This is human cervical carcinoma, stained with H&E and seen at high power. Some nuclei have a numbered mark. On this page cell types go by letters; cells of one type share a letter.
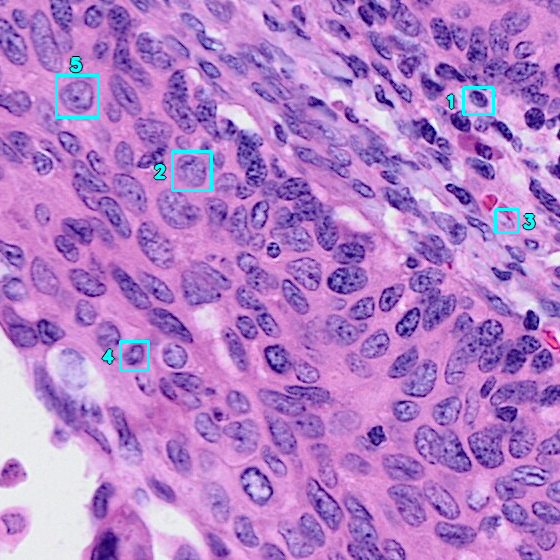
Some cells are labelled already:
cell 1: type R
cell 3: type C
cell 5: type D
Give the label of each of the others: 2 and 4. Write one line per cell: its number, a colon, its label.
2: type D
4: type D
